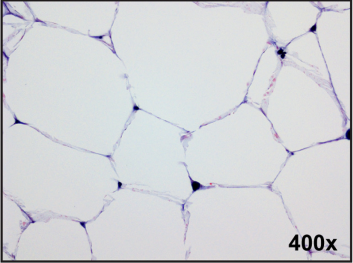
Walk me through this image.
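White adipose tissue of large polygonal adipocytes, each filled by a single clear vacuole. Cytoplasm is reduced to thin pale rims, with flattened dark nuclei squeezed at the cell borders, often where three cells meet.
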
